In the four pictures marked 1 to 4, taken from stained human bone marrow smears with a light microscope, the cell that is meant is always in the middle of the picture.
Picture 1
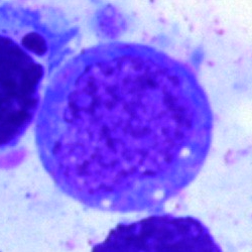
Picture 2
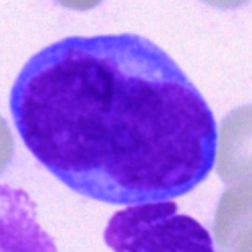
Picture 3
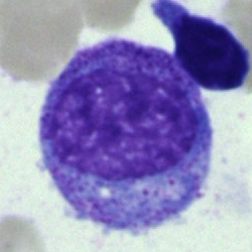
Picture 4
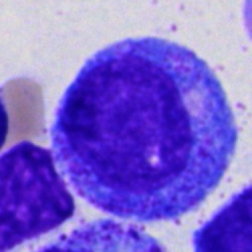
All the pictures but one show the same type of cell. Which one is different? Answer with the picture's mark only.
2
